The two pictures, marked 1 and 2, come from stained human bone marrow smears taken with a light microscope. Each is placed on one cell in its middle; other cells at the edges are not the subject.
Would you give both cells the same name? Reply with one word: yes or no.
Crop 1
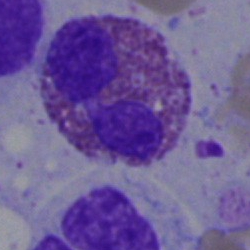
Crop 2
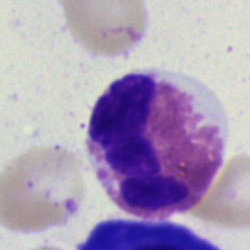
yes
